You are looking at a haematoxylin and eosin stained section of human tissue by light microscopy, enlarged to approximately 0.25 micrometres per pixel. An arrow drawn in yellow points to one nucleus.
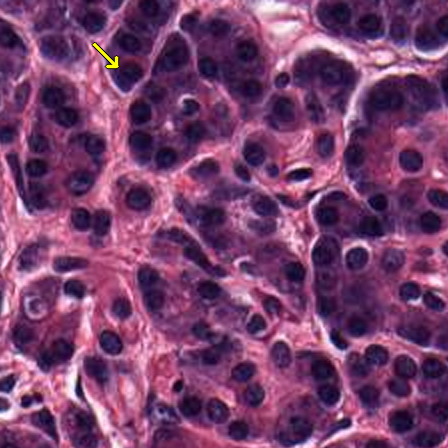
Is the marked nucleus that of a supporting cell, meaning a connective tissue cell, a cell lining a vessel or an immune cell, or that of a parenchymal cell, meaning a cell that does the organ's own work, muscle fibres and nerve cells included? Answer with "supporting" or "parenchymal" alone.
parenchymal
